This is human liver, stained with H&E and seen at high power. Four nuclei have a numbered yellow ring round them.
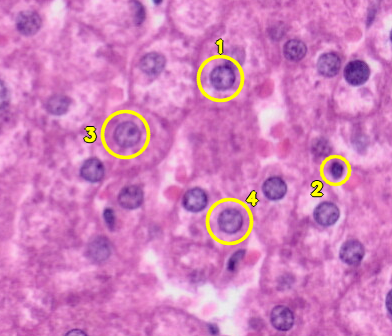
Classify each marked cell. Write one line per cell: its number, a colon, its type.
1: hepatocyte
2: lymphocyte
3: hepatocyte
4: hepatocyte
